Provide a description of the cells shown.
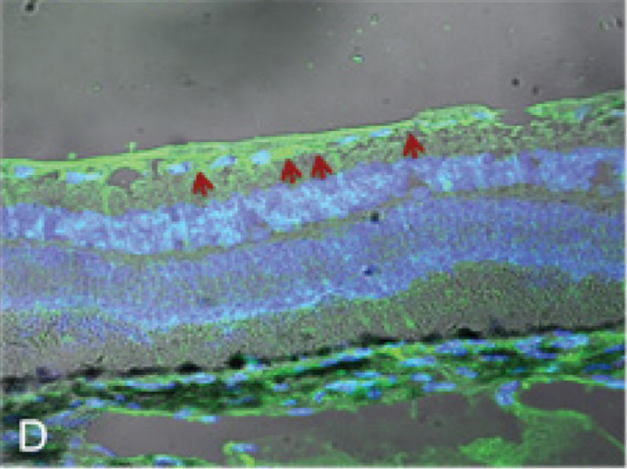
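This overlay shows a section of retina with its nuclei in blue over a grey transmitted-light image, and green staining laid on top. The nuclei form two dense horizontal bands, with a thinner, nucleus-poor layer near the upper surface. Green is brightest along the upper surface of the tissue, where the red arrows point, and again in the dark, pigmented layers at the bottom, with fainter green spread through the layers in between.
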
